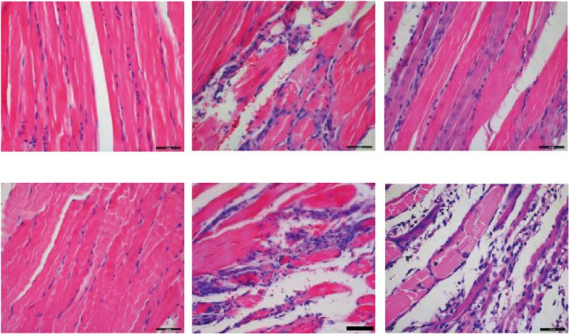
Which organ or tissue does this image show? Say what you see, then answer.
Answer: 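Long parallel pink-staining fibres. Elongated nuclei lie along the edges of the fibres.
Conclusion: muscle fibres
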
